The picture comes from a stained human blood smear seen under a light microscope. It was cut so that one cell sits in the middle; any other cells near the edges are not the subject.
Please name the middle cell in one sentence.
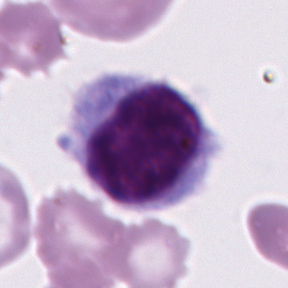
The middle position in this crop is taken by a hairy cell.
